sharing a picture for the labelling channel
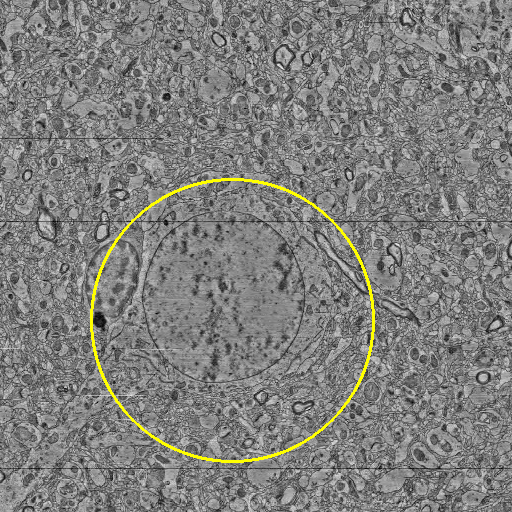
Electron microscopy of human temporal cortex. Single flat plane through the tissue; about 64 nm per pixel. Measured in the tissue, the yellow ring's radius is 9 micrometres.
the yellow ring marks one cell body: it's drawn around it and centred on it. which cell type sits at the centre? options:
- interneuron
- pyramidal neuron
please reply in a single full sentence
In the picture, the cell at the ring's centre is a pyramidal neuron, going by the list.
